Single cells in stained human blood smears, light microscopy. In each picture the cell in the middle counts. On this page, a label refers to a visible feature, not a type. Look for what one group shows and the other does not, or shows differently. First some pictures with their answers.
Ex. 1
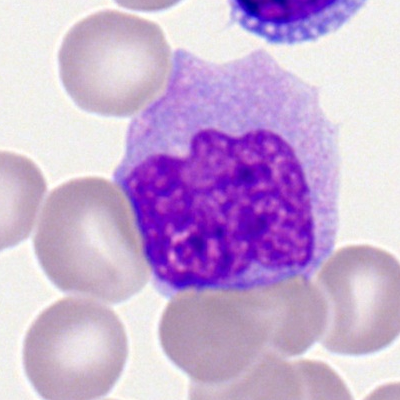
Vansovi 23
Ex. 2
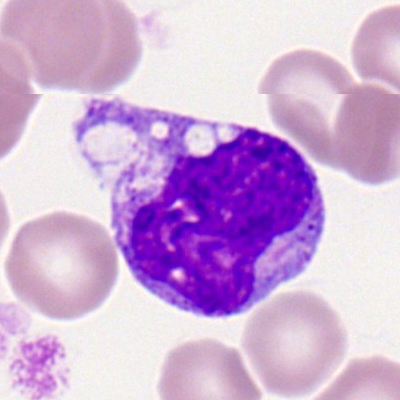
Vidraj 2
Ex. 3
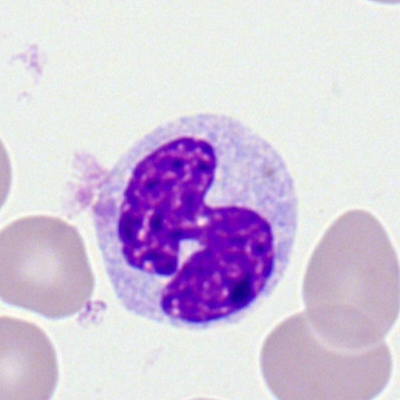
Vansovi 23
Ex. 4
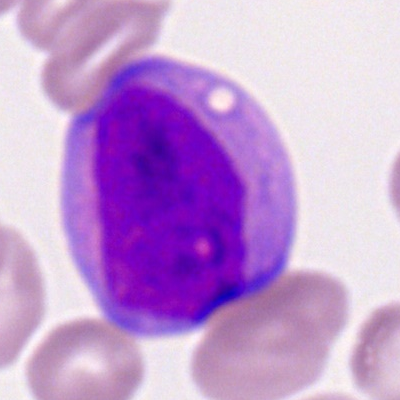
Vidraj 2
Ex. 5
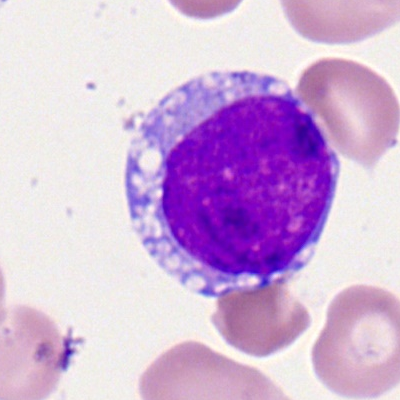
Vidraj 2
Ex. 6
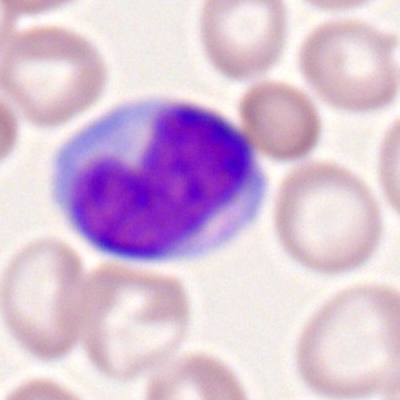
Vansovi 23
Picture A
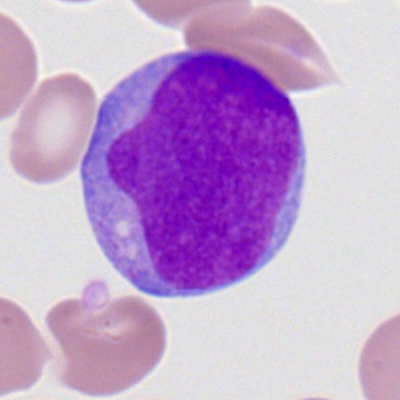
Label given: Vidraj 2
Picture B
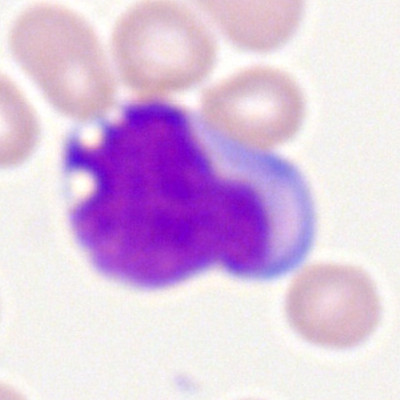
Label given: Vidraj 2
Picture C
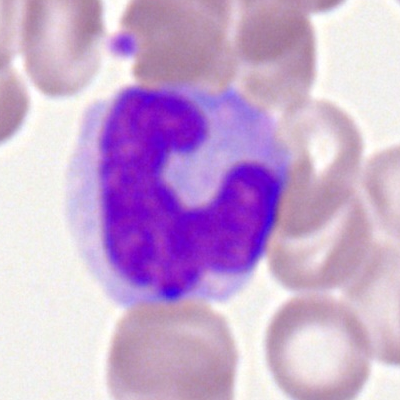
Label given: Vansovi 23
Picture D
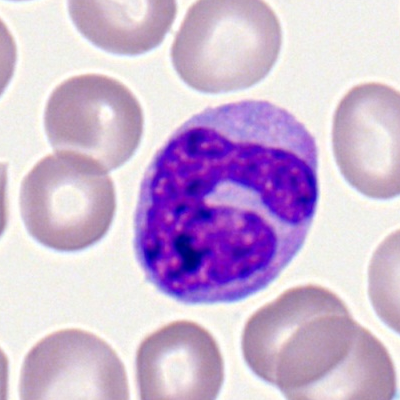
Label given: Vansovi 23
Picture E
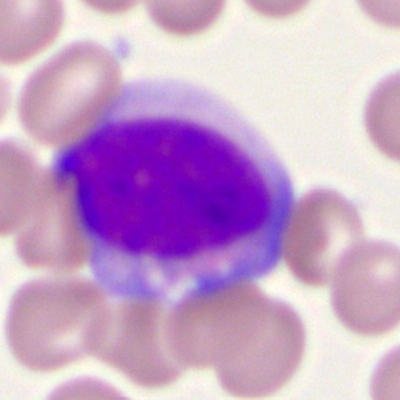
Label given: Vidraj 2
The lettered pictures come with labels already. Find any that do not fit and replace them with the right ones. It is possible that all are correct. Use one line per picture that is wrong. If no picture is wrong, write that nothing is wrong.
Nothing to fix; every label fits.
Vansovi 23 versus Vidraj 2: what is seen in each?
Seen in Vansovi 23: no vacuoles; seen in Vidraj 2: vacuoles present.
